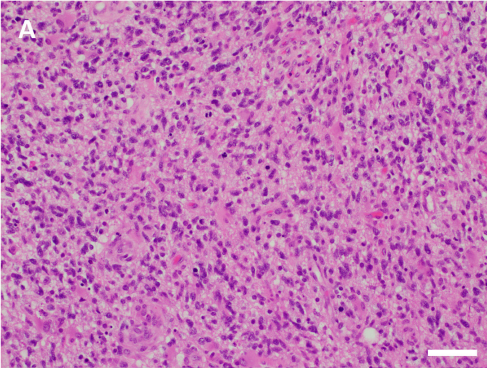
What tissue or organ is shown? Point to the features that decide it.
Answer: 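High-grade diffuse glial neoplasm. Sheets of densely packed cells with no organized architecture. Nuclei are hyperchromatic and vary in size and shape. Fine pink fibrillary background between the cells.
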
